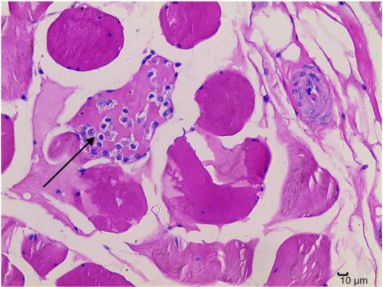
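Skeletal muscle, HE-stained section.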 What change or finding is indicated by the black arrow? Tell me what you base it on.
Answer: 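The arrow points to a cluster of small round cells with dark purple nuclei. So: inflammatory cell infiltration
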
